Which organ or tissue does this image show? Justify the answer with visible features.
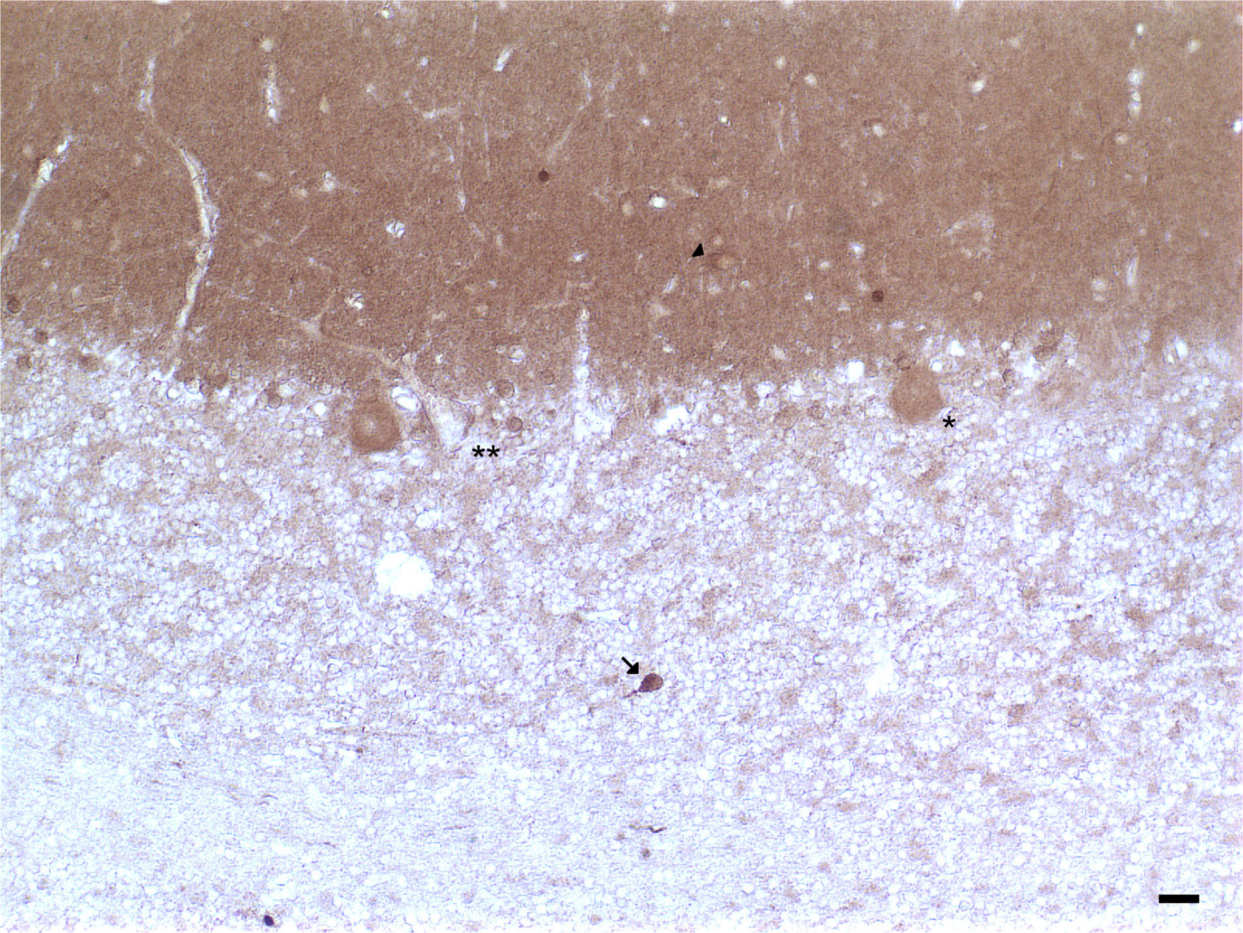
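A dense, evenly stained upper layer with few scattered small cell bodies. A row of large rounded cell bodies at the lower border of that layer. A lower layer packed with many small round cell profiles. On this evidence: cerebellar cortex.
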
